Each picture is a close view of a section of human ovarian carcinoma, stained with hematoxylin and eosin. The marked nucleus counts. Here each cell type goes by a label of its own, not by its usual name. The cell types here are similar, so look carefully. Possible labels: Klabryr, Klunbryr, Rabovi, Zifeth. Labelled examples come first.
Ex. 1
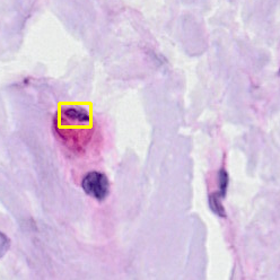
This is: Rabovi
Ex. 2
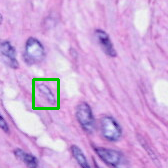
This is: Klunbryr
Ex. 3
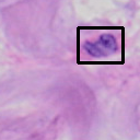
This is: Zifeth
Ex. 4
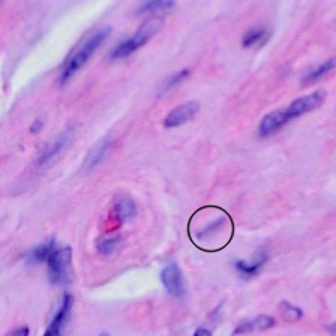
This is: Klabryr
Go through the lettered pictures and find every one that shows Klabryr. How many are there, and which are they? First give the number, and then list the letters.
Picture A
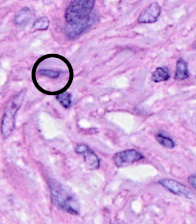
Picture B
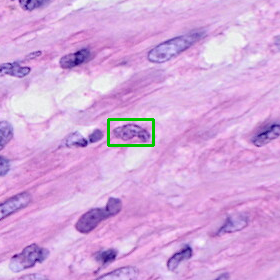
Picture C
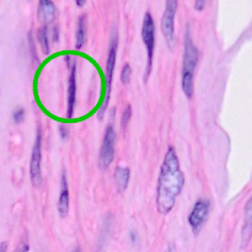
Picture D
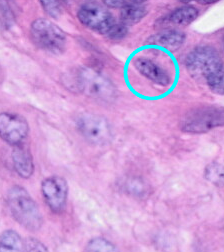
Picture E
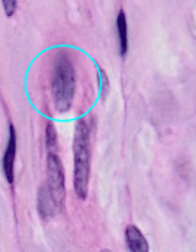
Count: 1 (C)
